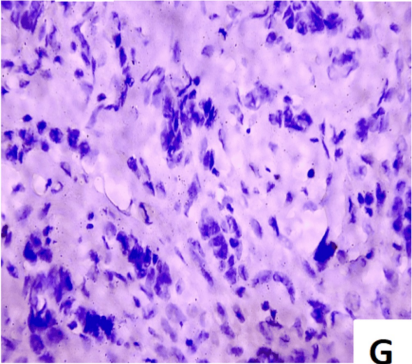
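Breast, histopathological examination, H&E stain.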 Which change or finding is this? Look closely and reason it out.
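Marked pleomorphism. Nuclei vary widely in size and shape. Some nuclei are large, dark and irregular.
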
